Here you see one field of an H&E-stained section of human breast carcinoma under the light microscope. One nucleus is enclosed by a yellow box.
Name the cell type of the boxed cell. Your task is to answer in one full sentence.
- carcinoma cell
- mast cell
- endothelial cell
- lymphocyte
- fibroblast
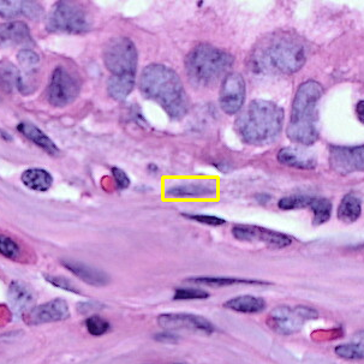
As a matter of cell type, the boxed cell is a fibroblast.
